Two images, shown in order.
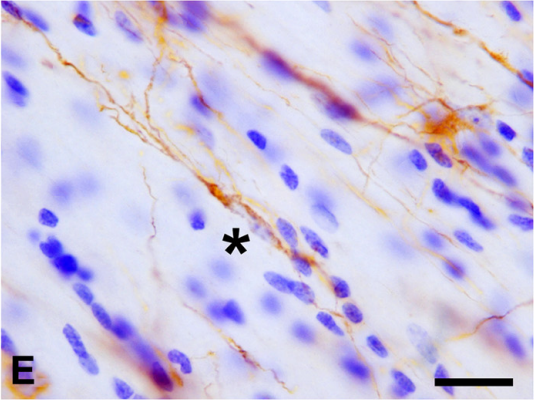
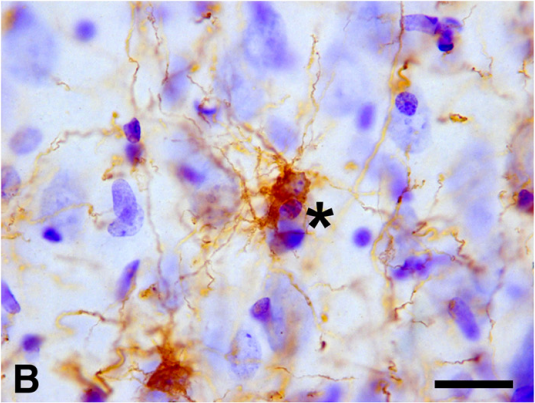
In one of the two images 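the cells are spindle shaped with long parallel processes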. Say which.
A: The first image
